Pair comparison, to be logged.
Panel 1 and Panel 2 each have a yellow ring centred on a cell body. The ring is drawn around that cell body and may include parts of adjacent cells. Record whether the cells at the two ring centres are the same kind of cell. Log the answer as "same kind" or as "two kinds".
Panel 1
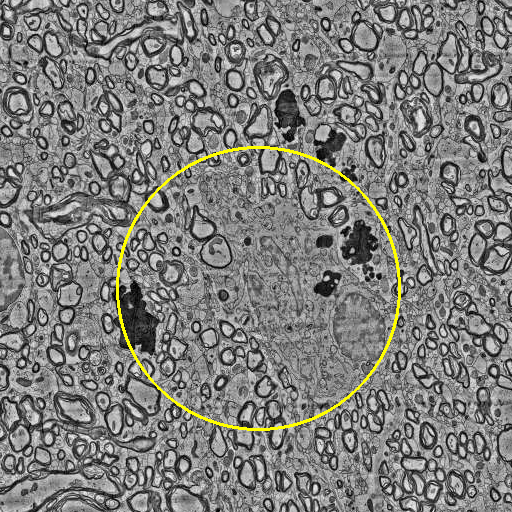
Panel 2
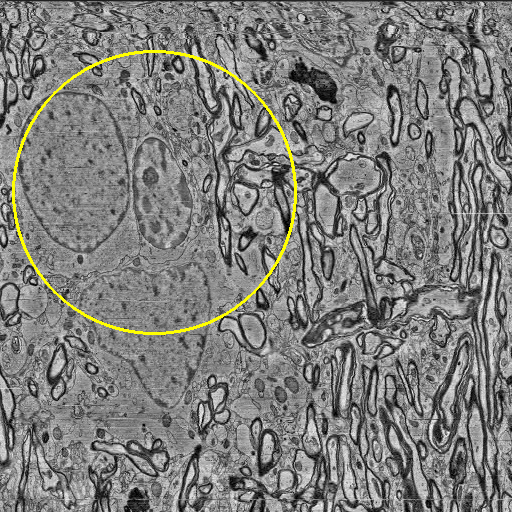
two kinds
